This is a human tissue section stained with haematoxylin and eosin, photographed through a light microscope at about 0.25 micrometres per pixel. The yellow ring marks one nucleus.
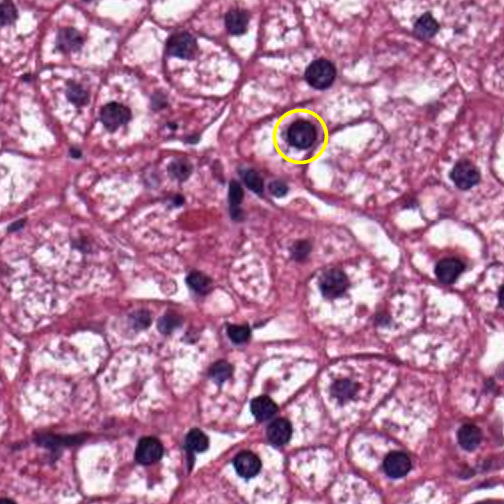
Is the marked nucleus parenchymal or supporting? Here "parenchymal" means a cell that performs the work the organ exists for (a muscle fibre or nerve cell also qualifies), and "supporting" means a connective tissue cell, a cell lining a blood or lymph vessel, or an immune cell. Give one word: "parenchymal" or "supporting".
parenchymal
